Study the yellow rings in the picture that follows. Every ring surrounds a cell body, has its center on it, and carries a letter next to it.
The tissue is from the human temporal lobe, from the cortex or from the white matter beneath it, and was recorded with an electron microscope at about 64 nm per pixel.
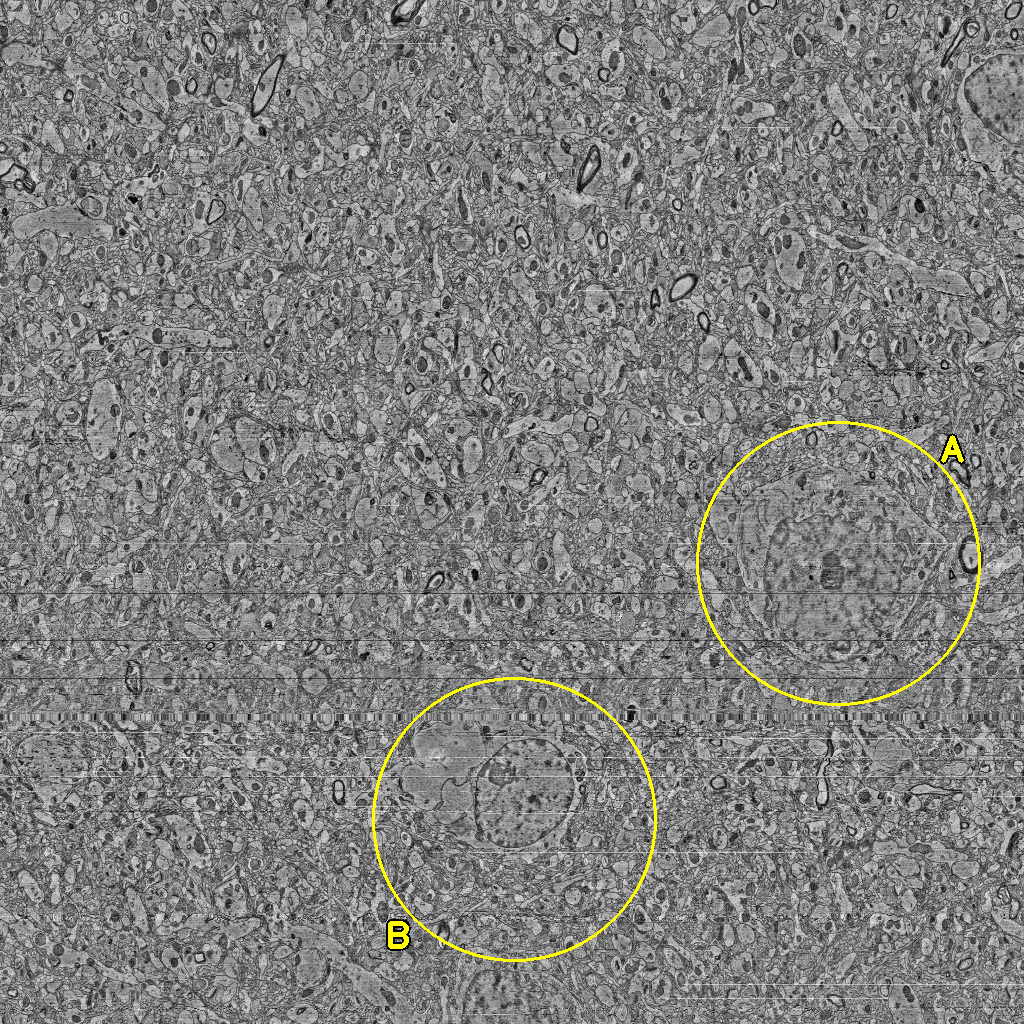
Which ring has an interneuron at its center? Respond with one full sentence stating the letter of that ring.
The ring centered on the cell asked for carries the letter A.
